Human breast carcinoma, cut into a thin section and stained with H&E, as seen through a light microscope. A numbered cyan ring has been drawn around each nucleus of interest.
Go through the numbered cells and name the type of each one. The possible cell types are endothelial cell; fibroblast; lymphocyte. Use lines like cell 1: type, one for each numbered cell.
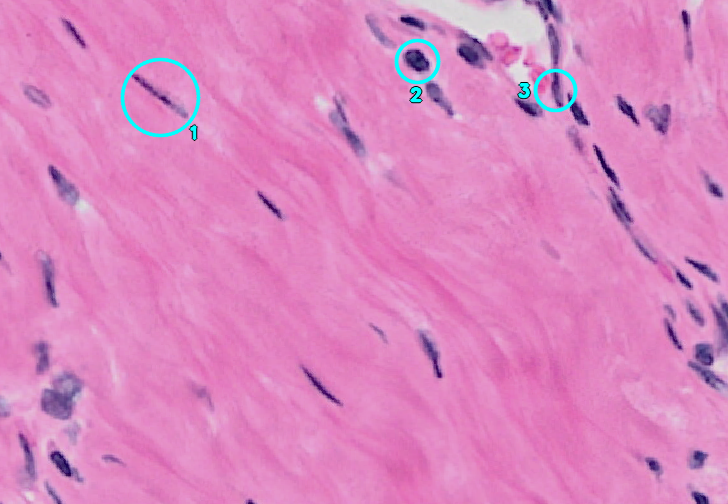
cell 1: fibroblast
cell 2: lymphocyte
cell 3: endothelial cell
